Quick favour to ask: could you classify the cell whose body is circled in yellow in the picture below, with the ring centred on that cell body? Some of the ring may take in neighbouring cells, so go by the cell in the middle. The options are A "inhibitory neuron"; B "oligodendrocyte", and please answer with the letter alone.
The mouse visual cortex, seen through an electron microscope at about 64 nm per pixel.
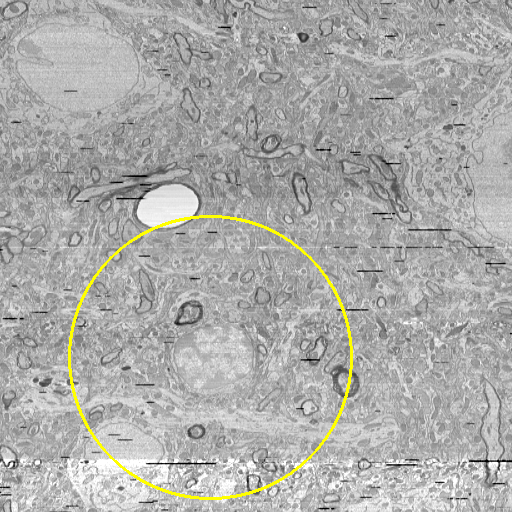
B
